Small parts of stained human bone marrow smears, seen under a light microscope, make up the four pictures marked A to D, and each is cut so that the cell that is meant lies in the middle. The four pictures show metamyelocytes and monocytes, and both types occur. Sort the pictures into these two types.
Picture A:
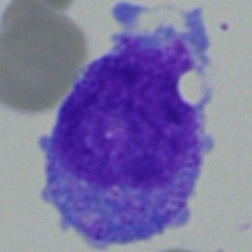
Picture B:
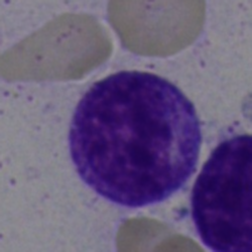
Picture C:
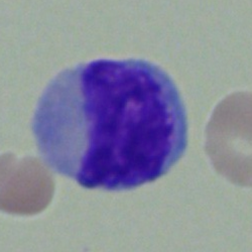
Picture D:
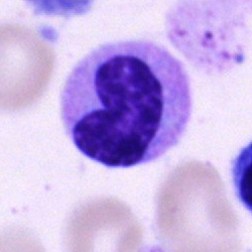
A: monocyte
B: metamyelocyte
C: metamyelocyte
D: metamyelocyte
